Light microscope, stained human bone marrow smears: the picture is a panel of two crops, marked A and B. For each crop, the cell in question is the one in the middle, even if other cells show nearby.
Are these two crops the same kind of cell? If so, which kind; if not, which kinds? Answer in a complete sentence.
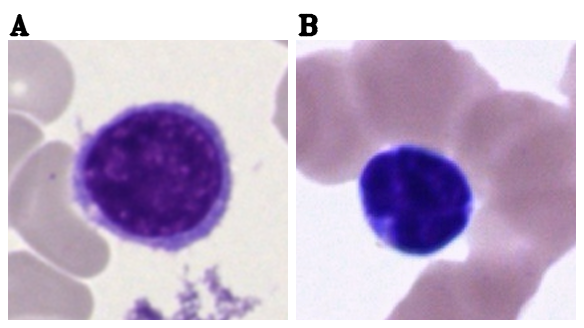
Yes, the central cells in both crops are lymphocytes.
